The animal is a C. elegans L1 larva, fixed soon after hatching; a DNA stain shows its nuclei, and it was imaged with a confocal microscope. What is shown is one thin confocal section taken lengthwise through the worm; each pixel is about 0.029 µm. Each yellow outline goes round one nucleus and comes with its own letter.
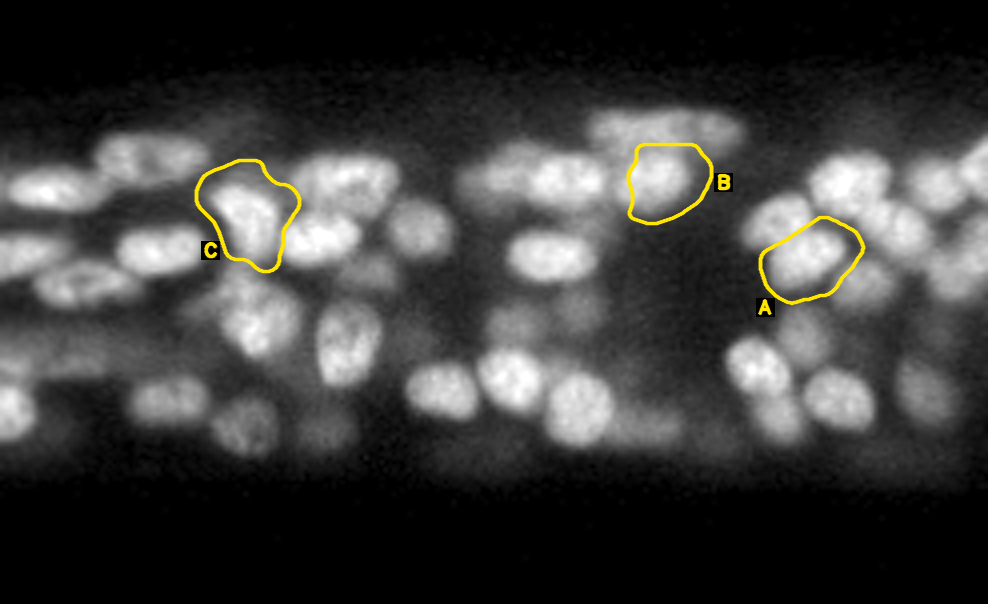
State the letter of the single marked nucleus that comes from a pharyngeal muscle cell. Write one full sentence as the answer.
Nucleus C belongs to a pharyngeal muscle cell.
